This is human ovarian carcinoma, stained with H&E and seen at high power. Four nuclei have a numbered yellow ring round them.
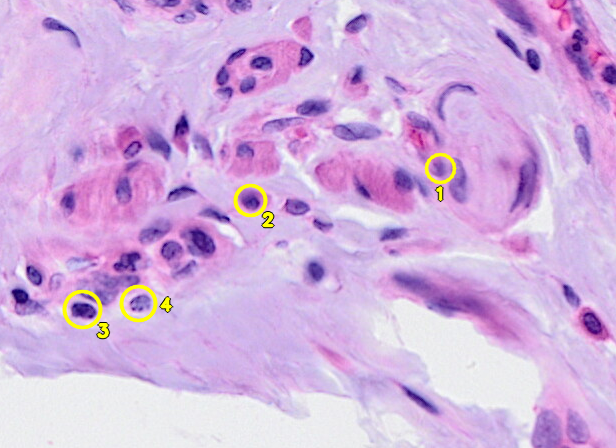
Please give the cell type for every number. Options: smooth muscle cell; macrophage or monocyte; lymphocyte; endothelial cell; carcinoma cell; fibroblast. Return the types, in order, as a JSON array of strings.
["endothelial cell", "smooth muscle cell", "lymphocyte", "lymphocyte"]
